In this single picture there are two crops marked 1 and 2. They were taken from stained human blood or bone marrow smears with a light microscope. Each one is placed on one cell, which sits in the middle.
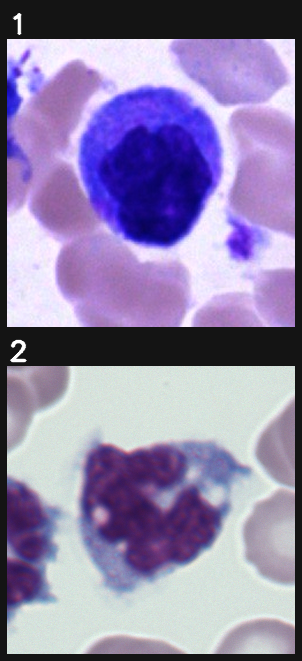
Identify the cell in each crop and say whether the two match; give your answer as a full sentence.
Yes, the cells at the middle of both crops are monocytes.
